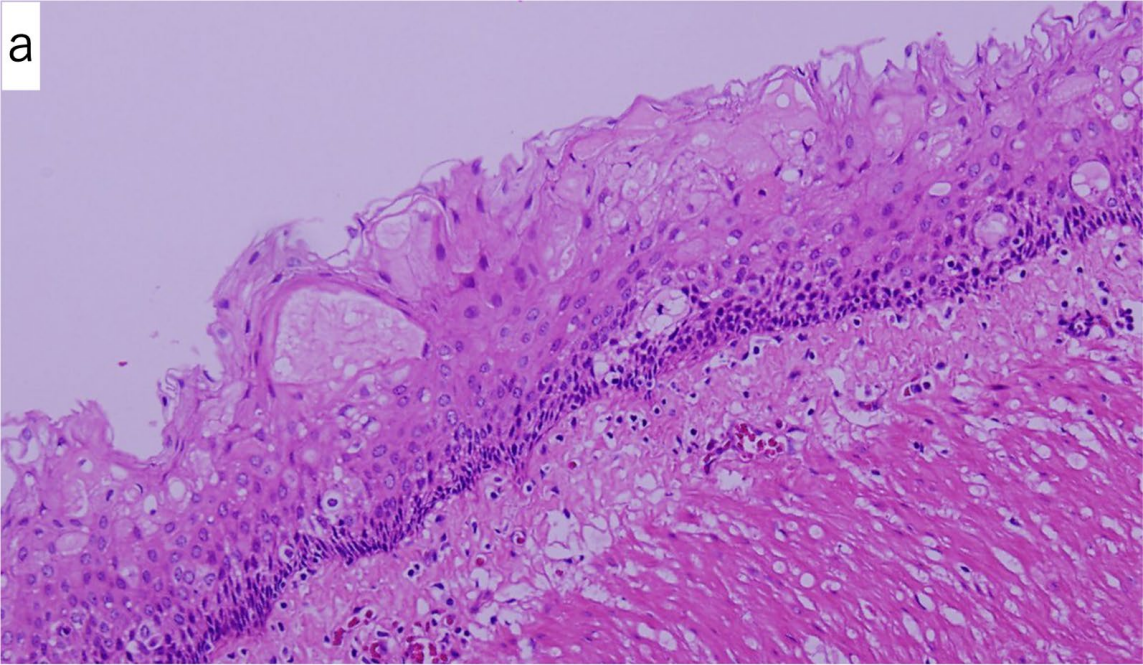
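A stratified squamous epithelium lines the surface, seen in section over loose connective tissue. Below the epithelium lies pale, loose pink connective tissue with scattered nuclei and small vessels filled with red blood cells, merging deeper into denser pink fibrous or muscular tissue.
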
